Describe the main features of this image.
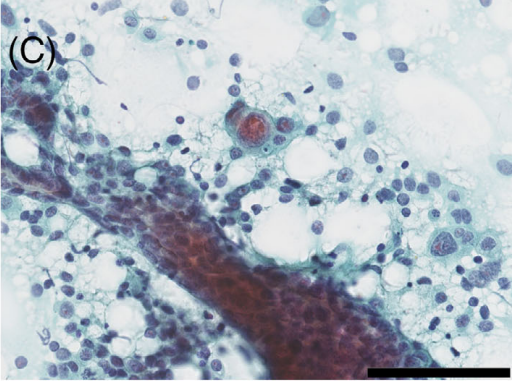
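This smear shows carcinoma cells with marked atypia, scattered among smaller cells in a bubbly, vacuolated background. Along the lower left runs a dense, dark red-brown band of crowded cells.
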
